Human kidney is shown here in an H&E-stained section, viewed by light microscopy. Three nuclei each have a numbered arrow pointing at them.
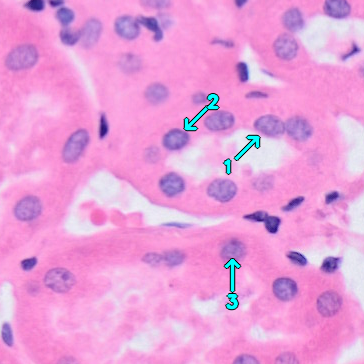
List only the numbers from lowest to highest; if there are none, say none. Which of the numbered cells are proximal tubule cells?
3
